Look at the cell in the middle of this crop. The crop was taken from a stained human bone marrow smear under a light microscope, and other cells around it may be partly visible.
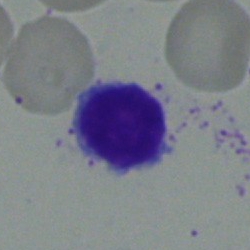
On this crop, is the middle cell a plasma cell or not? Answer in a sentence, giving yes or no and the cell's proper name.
No, the cell sitting in the middle is a lymphocyte, and it is not a plasma cell.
